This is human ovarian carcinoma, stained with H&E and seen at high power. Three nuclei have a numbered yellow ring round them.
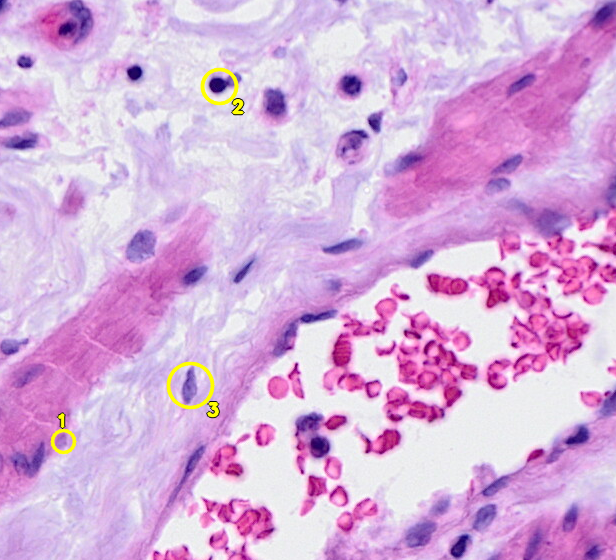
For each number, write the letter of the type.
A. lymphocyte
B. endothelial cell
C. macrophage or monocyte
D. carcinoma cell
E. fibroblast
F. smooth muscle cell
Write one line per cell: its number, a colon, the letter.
1: F
2: A
3: E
